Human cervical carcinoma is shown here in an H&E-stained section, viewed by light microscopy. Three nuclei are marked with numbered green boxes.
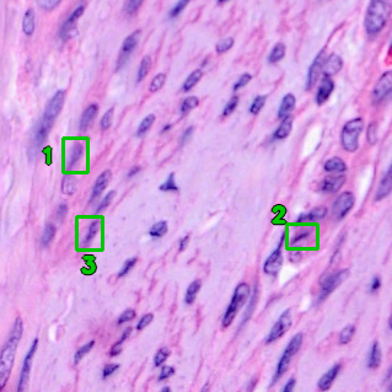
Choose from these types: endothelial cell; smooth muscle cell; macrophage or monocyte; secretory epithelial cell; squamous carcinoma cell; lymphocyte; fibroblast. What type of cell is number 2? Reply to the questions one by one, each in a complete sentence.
Looking at the numbered marks, cell 2 is an endothelial cell.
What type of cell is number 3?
The nucleus labelled 3 belongs to a smooth muscle cell.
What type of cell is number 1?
The cell with the number 1 is a smooth muscle cell.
